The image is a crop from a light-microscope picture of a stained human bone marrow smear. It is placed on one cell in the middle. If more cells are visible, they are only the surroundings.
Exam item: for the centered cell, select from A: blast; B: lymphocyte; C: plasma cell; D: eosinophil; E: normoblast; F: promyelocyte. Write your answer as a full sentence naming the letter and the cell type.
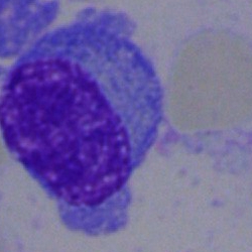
Option C is the right choice, the central cell being a plasma cell.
